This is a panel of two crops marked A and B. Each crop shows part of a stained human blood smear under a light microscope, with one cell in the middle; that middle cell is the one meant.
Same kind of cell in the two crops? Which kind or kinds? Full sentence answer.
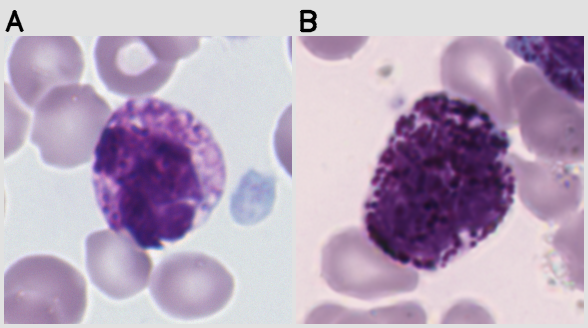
Yes, both of the crops show basophils.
